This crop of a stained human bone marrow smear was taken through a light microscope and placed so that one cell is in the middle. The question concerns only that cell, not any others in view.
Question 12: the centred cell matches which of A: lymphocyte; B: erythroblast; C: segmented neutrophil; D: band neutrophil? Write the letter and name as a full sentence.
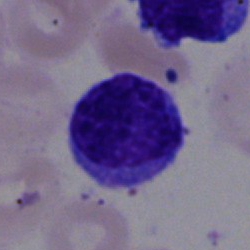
The correct response is option A, naming the cell in the middle as a lymphocyte.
